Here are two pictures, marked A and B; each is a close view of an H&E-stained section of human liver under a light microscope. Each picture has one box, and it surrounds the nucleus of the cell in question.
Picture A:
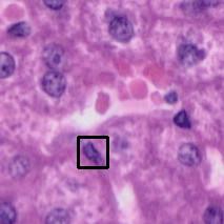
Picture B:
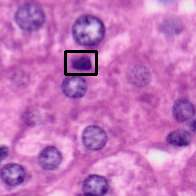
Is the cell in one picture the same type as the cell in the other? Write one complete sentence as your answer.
Yes, both cells are “fibroblasts or stellate cells”.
